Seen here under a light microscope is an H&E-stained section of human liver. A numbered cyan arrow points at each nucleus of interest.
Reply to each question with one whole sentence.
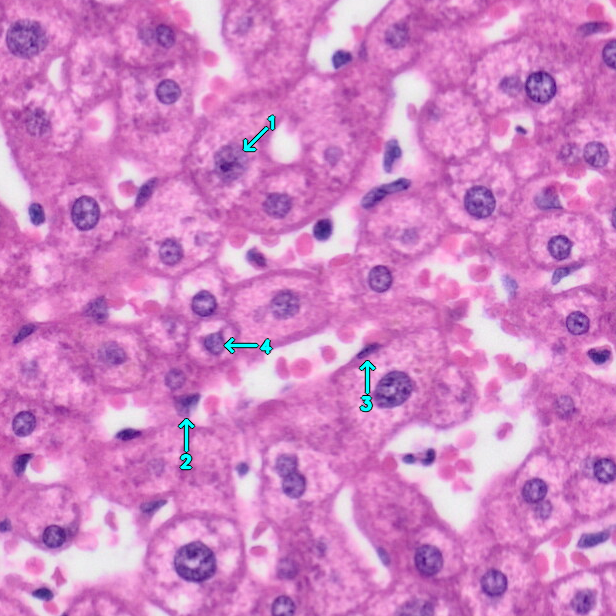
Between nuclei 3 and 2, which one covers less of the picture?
Nucleus 3 covers less area, with nucleus 2 about 2 times as large.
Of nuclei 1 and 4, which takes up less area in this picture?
It is nucleus 4; nucleus 1 has about 3 times its area.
